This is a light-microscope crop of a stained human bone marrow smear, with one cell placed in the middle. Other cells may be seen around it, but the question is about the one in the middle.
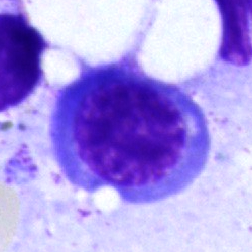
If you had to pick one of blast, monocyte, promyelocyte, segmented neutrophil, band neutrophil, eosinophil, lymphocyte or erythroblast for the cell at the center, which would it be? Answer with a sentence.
The center cell of this crop is an erythroblast.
